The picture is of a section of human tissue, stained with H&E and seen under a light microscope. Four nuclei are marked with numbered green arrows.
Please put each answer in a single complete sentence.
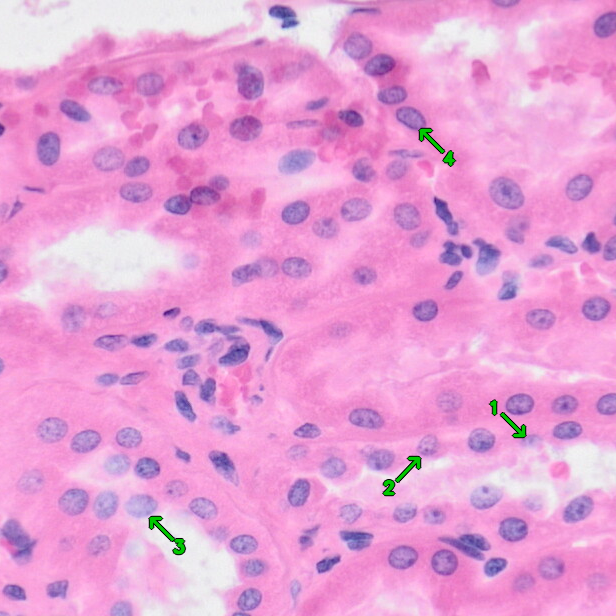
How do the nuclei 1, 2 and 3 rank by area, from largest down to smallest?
From largest to smallest, the order is 3, 2, 1.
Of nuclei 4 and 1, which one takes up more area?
The larger nucleus is 4, at roughly 2 times the area of 1.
